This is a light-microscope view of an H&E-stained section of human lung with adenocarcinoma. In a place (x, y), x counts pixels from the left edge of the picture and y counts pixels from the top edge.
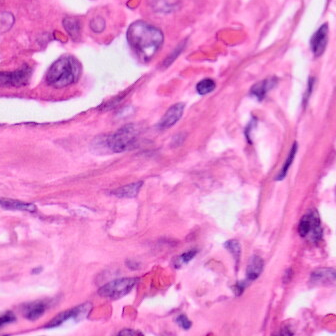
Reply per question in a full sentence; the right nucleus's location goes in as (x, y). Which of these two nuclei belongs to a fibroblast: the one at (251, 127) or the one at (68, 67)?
The nucleus at (251, 127) is the member of the pair belonging to a fibroblast.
